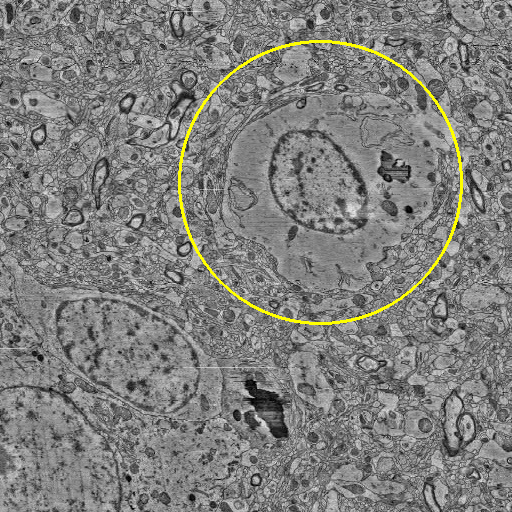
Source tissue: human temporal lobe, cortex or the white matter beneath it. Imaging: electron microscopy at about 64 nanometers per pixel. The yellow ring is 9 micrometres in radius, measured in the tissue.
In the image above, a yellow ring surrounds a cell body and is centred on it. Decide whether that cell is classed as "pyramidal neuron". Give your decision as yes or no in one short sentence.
No, it belongs to another kind of cell.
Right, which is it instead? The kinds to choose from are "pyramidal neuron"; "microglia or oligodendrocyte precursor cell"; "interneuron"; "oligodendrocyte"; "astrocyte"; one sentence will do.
It is an astrocyte at the centre of the ring.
